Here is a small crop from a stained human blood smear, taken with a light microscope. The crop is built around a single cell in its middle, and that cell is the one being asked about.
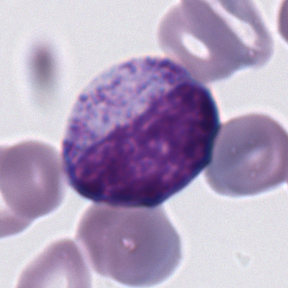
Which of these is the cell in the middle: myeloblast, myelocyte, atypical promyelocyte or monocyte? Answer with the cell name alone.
myelocyte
